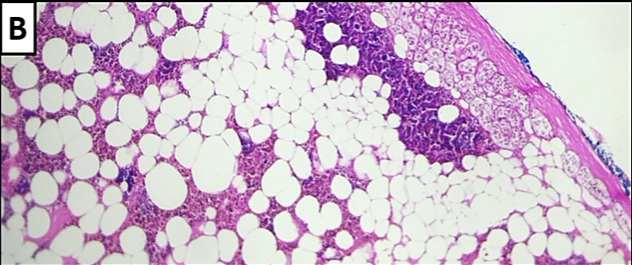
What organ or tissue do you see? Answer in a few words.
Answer: Residual adrenal cortex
